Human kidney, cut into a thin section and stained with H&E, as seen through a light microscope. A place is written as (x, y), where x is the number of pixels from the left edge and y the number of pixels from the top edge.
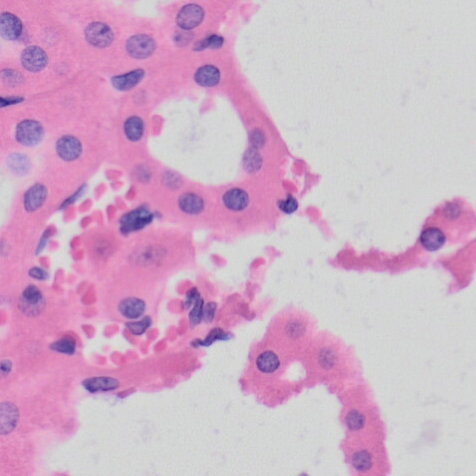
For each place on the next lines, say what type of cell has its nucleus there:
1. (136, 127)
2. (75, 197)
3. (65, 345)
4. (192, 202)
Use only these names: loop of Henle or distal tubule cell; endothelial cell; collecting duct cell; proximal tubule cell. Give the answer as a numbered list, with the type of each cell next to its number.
1. loop of Henle or distal tubule cell
2. endothelial cell
3. endothelial cell
4. loop of Henle or distal tubule cell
